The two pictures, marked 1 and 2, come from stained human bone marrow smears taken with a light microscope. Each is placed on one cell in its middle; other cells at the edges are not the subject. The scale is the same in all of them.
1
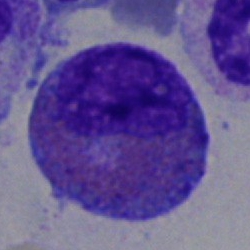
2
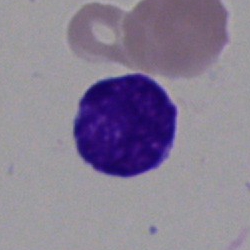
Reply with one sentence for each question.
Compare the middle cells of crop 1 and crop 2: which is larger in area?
The cell in crop 1 is larger, with about 2.5 times the area of the one in crop 2.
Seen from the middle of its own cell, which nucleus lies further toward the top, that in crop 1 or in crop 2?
The nucleus in crop 1 lies further toward the top of its cell.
